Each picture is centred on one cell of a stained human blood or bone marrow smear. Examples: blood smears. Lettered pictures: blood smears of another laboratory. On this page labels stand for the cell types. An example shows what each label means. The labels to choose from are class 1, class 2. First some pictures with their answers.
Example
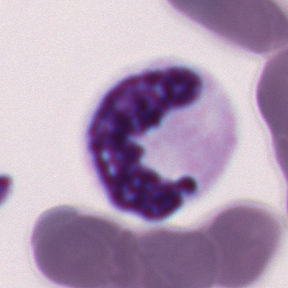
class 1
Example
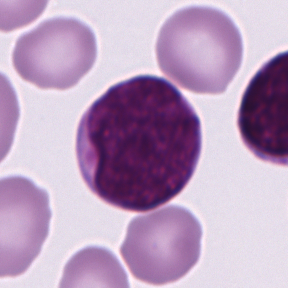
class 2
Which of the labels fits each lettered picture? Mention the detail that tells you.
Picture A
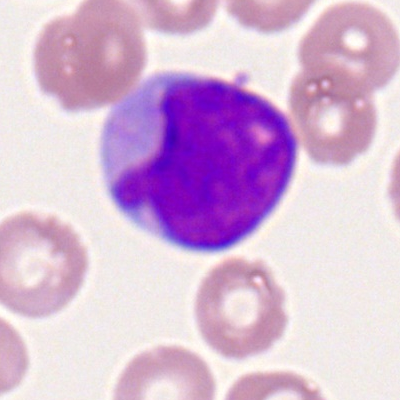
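class 2: The nucleus fills most of the cell and lies toward the right.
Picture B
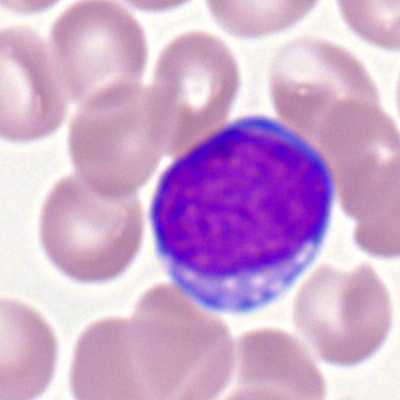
class 2: The cytoplasm stains a deep blue.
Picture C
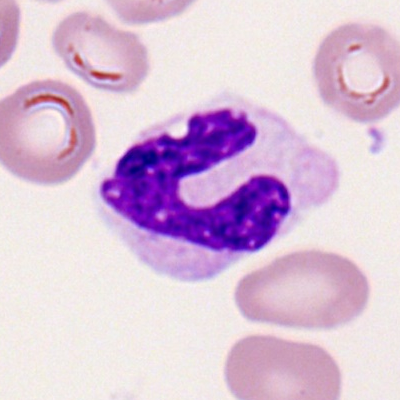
class 1: The nucleus is a curved, U-shaped band whose opening faces the right side of the cell.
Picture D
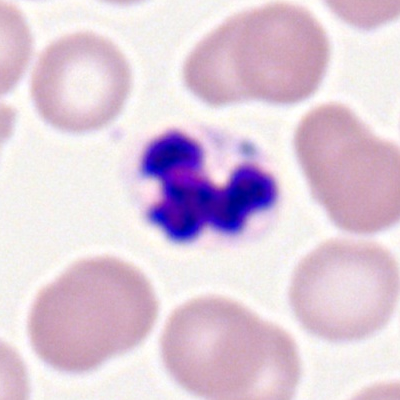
class 1: The cytoplasm around the nucleus is pale pink.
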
